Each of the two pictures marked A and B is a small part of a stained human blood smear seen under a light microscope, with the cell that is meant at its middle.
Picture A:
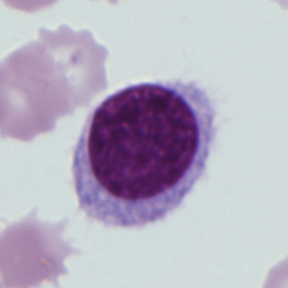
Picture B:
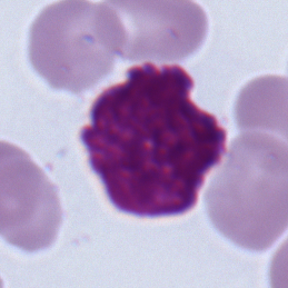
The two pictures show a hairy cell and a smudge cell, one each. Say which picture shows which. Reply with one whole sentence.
Picture A shows a hairy cell and picture B shows a smudge cell.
